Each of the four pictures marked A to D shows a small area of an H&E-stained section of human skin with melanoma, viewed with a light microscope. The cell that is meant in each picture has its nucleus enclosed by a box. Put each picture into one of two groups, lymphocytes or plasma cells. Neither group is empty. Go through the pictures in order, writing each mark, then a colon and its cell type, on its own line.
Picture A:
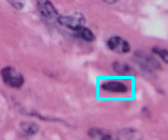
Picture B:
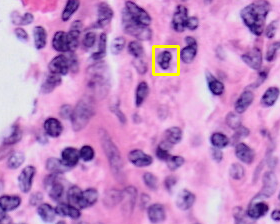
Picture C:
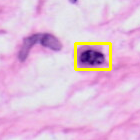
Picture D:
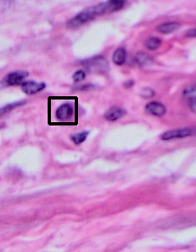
A: plasma cell
B: lymphocyte
C: plasma cell
D: plasma cell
